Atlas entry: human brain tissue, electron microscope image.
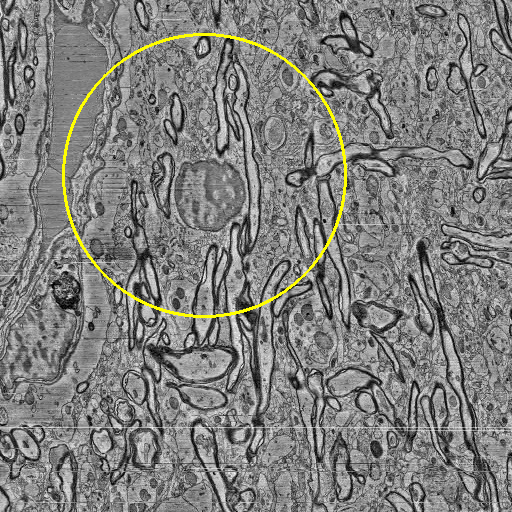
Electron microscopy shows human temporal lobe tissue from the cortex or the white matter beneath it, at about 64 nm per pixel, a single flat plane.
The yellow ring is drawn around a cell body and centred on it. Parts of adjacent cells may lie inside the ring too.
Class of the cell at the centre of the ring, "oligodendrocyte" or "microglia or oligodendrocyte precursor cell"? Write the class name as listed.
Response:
microglia or oligodendrocyte precursor cell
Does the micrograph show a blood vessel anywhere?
Yes, the picture includes a blood vessel.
